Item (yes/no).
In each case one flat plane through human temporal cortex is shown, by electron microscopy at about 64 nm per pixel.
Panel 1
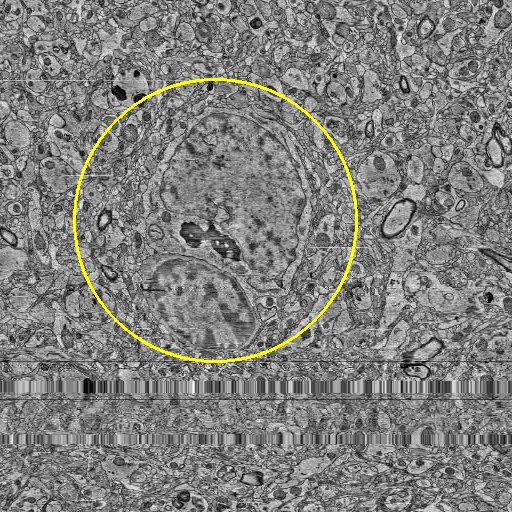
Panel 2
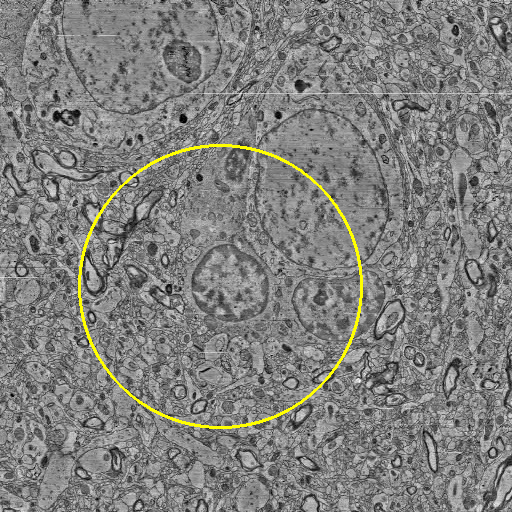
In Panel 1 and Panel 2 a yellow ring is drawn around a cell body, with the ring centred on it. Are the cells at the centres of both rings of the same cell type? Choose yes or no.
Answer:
no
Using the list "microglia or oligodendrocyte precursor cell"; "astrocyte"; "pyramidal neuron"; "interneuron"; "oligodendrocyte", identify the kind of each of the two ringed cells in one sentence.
The first is an interneuron and the second is an oligodendrocyte.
